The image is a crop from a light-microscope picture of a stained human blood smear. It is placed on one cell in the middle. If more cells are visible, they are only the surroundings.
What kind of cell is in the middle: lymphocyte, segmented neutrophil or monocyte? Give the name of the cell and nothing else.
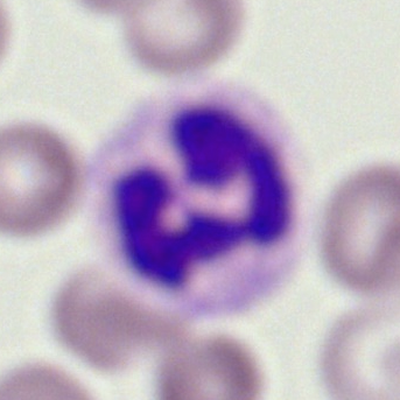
segmented neutrophil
